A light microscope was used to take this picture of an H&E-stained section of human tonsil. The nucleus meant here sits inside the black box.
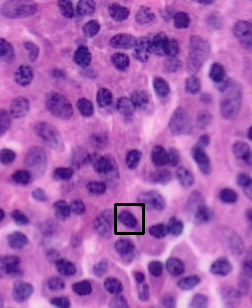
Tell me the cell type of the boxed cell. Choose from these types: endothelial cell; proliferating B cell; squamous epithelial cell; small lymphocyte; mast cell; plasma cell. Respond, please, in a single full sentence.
Considered by cell type, the boxed cell is a plasma cell.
